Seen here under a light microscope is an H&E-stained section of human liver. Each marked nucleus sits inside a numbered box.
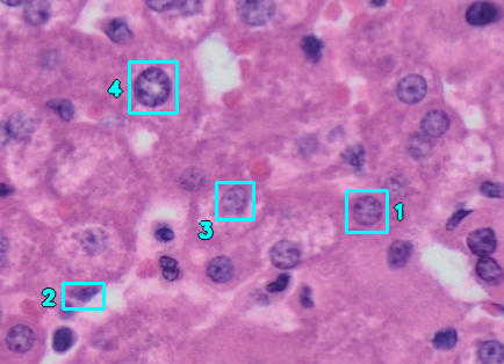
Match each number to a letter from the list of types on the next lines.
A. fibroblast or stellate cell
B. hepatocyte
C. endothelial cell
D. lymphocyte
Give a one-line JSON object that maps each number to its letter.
{"1": "B", "2": "C", "3": "B", "4": "B"}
